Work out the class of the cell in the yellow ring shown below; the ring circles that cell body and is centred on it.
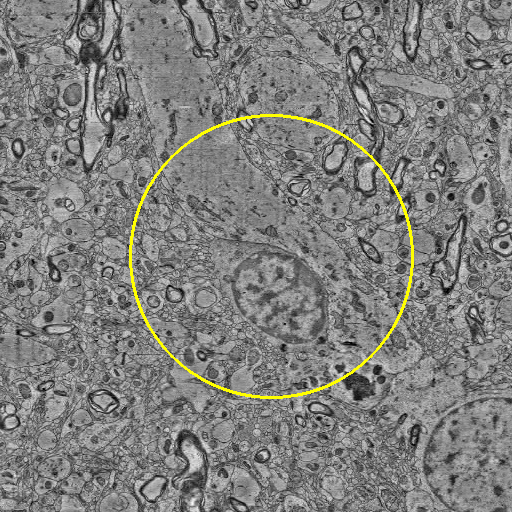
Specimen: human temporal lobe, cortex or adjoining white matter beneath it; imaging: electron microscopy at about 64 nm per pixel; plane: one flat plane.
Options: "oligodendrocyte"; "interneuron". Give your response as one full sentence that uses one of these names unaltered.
The body ringed in yellow, right at the ring's centre, is that of an oligodendrocyte.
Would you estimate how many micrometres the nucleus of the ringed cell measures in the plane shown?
The ringed cell's nucleus measures approximately 7 by 5 micrometres in this plane.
